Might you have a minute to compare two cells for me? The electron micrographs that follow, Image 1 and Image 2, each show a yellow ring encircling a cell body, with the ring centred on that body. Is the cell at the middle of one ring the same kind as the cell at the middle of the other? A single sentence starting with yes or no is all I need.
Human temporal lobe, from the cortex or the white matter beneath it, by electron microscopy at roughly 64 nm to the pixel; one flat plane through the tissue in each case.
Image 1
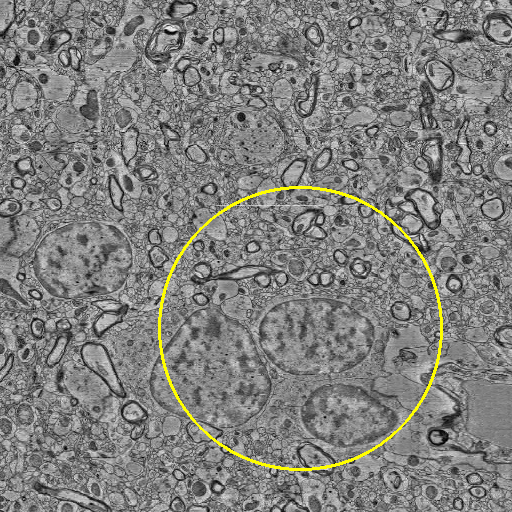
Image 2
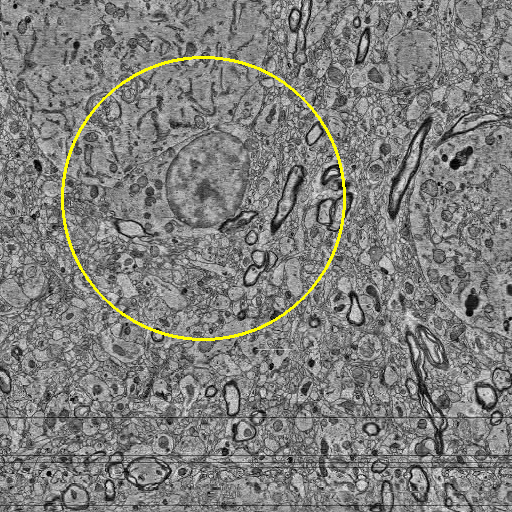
Yes, the cells in the middle of the two rings are of one shared kind.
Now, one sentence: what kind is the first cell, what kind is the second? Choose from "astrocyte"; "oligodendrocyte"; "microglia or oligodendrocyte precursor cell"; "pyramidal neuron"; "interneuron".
Each of the two rings is centred on an oligodendrocyte.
